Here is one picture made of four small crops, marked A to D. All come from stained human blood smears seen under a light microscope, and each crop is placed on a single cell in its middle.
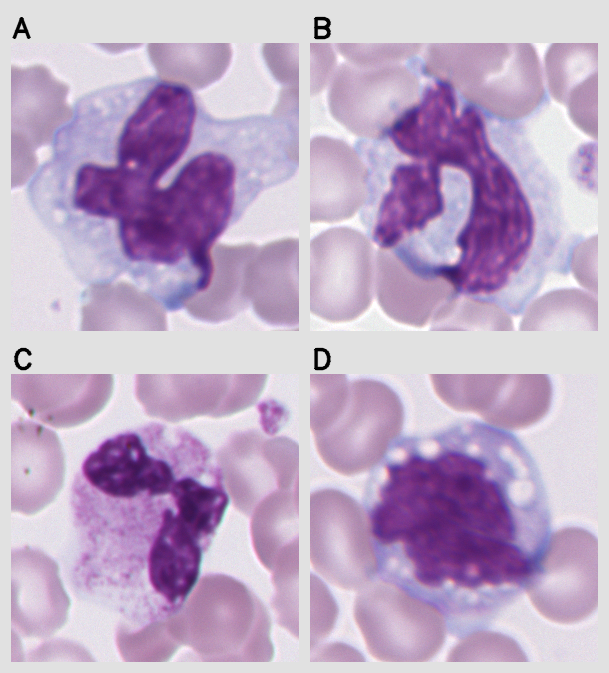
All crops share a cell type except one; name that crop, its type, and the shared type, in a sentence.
Whereas the other crops show monocytes, crop C is a segmented neutrophil.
